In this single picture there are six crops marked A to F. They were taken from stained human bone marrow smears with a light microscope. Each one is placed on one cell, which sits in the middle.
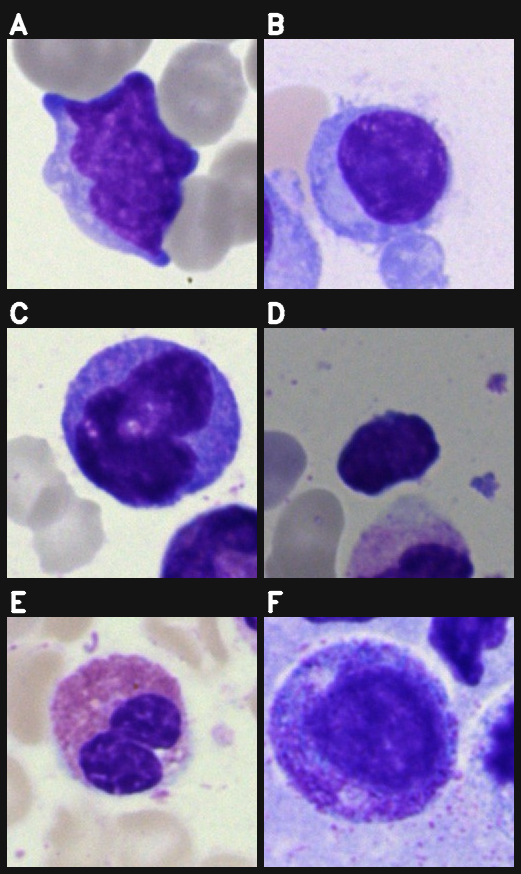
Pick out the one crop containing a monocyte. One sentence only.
Of the cells presented, the one in crop C is a monocyte.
